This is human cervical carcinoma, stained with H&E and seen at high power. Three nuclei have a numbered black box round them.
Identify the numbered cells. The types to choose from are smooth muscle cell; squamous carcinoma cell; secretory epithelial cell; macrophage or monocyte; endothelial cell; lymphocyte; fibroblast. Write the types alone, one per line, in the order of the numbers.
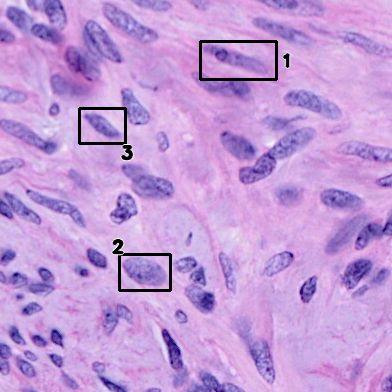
smooth muscle cell
fibroblast
fibroblast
